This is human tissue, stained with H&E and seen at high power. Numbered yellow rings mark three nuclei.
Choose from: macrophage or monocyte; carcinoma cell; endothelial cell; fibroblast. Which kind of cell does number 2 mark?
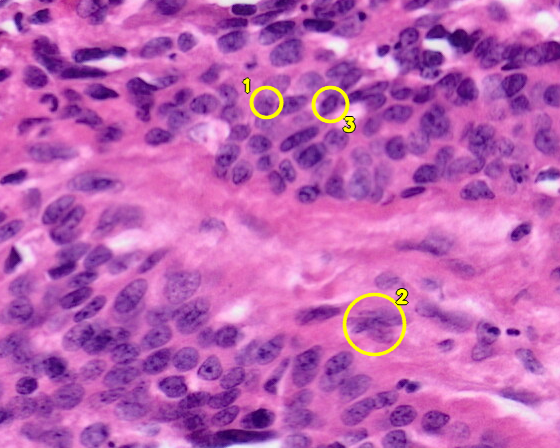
fibroblast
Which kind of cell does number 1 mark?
carcinoma cell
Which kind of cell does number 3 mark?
carcinoma cell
